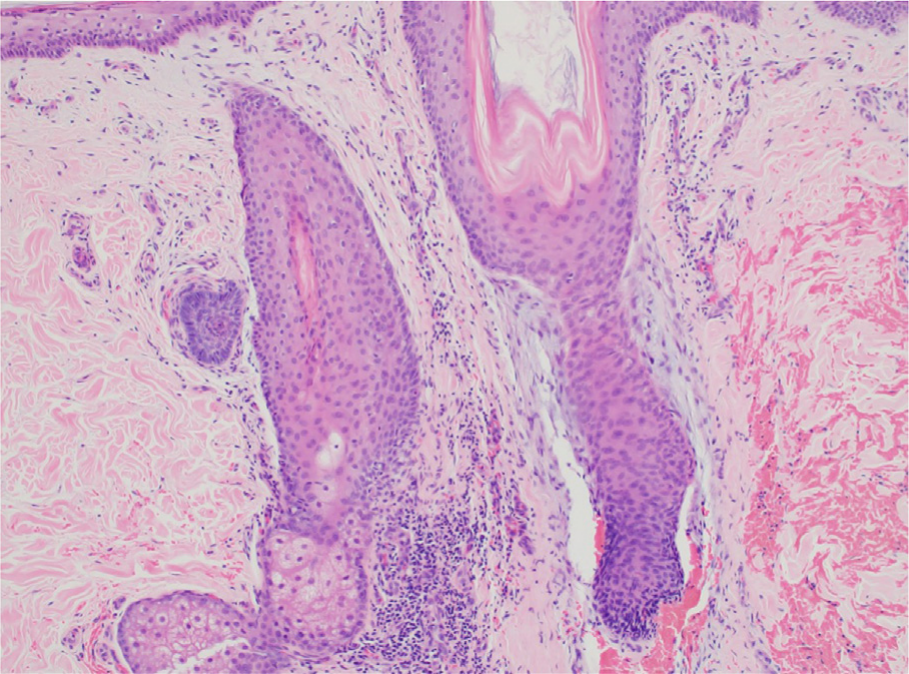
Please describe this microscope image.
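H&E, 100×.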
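Two hair follicles run down through the dermis at the isthmus level, one with a wavy pink keratinized hair shaft in its upper canal, with sebaceous lobules of pale, vacuolated cells at the lower left. Each follicle is surrounded by a concentric band of pale, loose, bluish-tinged fibrous stroma, with a dense collection of small dark lymphocytes beside the lower part of one follicle and bright red extravasated blood along the edge of the other. This is concentric perifollicular mucinous fibrosis with lymphocytic inflammation and perifollicular hemorrhage.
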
